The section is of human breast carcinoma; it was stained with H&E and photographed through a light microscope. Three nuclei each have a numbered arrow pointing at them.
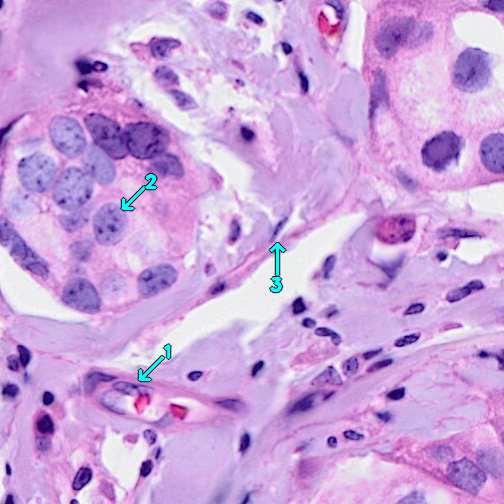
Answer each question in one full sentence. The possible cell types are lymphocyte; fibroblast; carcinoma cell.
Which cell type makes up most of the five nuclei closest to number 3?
Lymphocytes account for more than half of the five nuclei nearest to number 3.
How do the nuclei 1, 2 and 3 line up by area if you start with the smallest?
From smallest to largest, the order is 3, 1, 2.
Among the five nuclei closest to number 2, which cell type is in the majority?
Carcinoma cells make up most of the five nuclei closest to number 2.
